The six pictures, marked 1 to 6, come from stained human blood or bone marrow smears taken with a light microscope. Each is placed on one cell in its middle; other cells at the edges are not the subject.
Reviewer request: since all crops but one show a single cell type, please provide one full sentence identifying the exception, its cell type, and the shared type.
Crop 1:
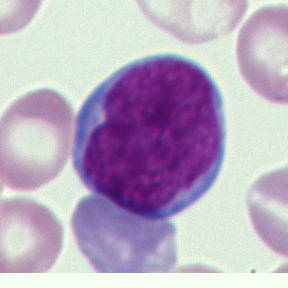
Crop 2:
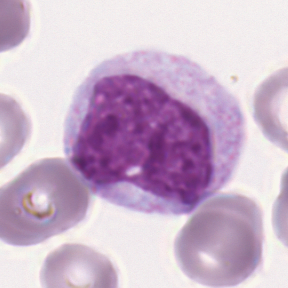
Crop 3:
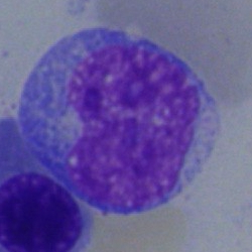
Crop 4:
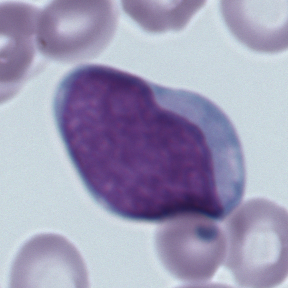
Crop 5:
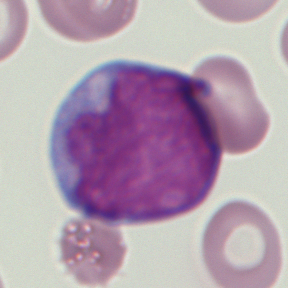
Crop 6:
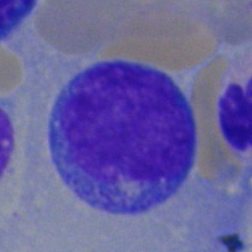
Found in all crops but one are blasts; the exception, crop 2, contains a myelocyte.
